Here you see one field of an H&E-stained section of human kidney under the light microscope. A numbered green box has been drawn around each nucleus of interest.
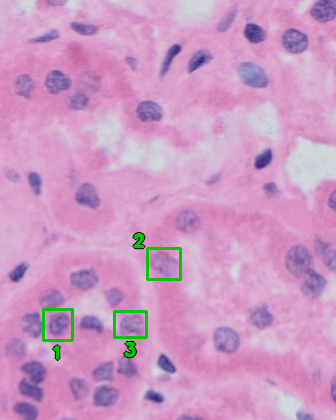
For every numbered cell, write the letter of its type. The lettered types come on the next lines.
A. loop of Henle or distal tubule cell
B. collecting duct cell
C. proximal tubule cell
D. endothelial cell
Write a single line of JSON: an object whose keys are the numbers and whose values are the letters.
{"1": "A", "2": "C", "3": "A"}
